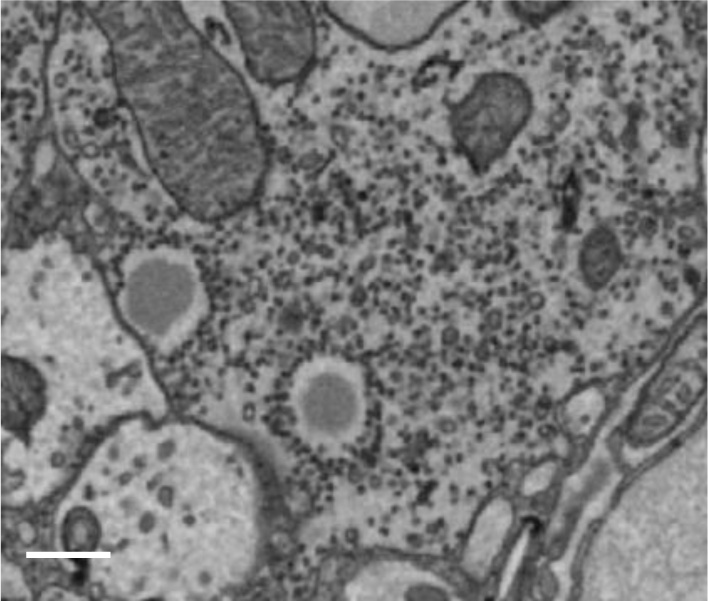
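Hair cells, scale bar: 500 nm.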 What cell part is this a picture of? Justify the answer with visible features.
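Two round, uniformly grey dense bodies lie in the cytoplasm near the cell membrane.
Conclusion: ribbons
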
